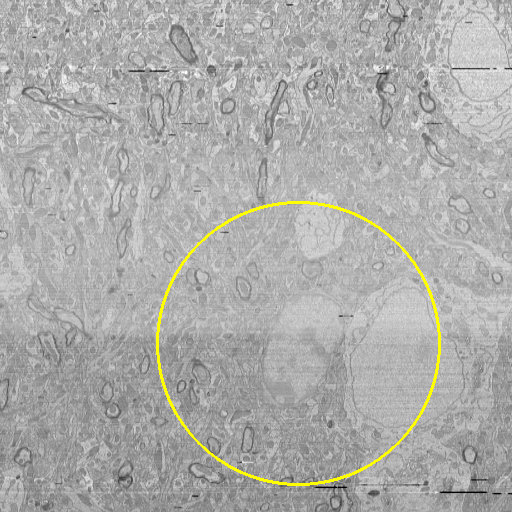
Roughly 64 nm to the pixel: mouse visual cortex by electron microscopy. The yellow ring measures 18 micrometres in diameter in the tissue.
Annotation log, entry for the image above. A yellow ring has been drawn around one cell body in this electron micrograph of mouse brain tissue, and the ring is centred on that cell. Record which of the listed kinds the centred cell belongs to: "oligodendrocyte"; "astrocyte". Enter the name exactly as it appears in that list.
oligodendrocyte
